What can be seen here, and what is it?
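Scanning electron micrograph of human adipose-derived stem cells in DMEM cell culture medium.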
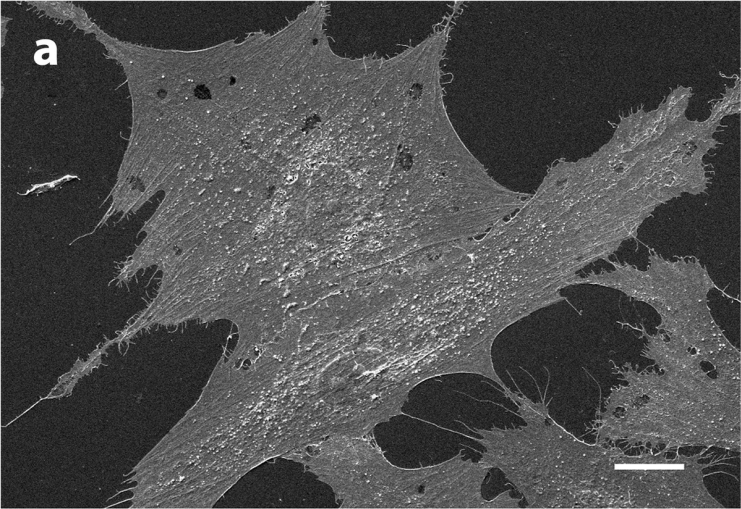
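The cell surface shows fine parallel fibrous ridges running along the length of the cell, with small knob-like bumps clustered over the central region. The edges are fringed with many fine thread-like projections, and a few small holes pierce the thin peripheral cytoplasm.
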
